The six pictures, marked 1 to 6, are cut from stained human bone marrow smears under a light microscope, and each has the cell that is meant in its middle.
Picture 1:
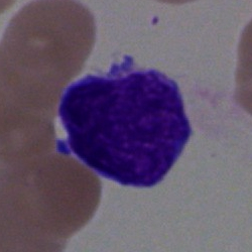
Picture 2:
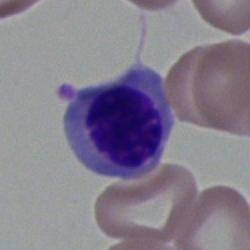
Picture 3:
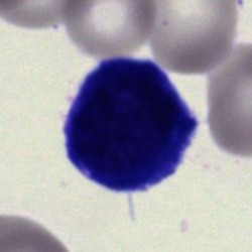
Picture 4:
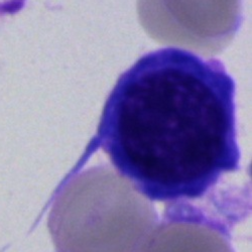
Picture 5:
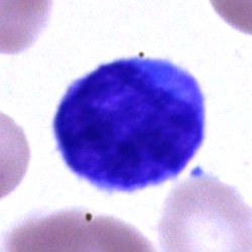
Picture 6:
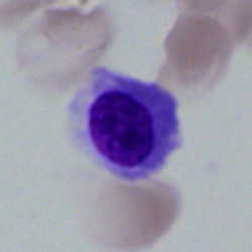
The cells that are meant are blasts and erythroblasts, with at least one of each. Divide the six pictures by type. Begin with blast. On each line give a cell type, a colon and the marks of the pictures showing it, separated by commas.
blast: 1, 5
erythroblast: 2, 3, 4, 6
